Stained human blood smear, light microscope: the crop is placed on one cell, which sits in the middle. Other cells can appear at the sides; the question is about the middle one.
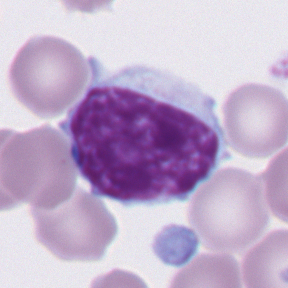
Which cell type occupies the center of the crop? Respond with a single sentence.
The identification for the central cell is a typical lymphocyte.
